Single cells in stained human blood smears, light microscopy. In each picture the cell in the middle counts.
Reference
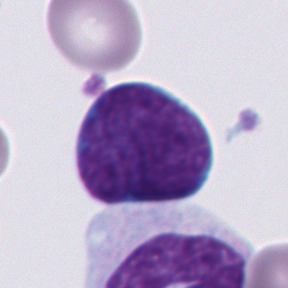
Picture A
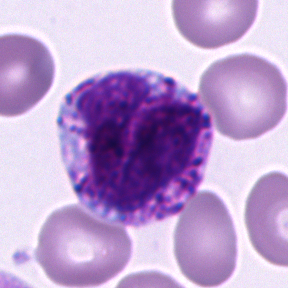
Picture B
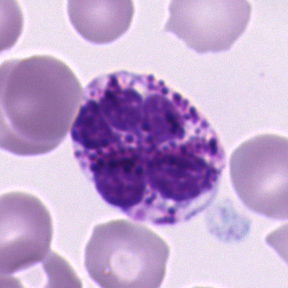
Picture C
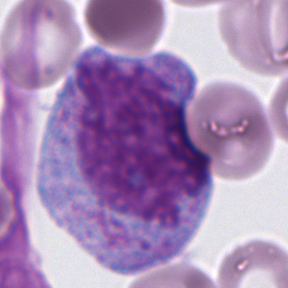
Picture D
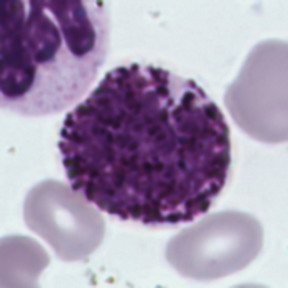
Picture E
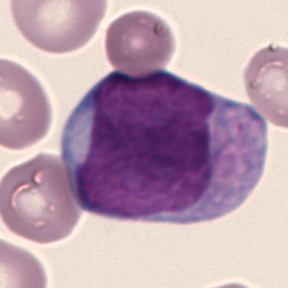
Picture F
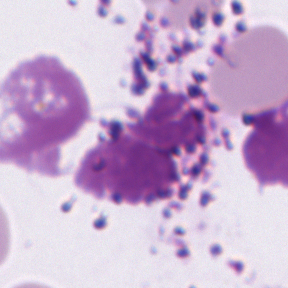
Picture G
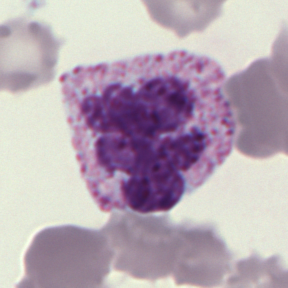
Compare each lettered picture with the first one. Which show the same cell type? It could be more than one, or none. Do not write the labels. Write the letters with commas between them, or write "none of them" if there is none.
none of them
